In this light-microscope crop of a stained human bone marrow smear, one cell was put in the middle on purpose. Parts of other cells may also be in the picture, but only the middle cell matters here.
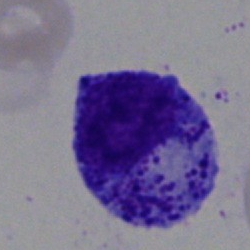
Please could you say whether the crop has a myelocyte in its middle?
no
